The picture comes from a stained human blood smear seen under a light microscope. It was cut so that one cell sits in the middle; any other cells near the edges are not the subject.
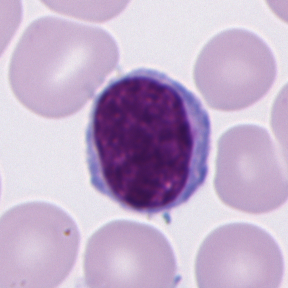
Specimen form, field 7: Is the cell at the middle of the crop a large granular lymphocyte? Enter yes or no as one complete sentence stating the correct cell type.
No, the central cell is not a large granular lymphocyte, being instead a typical lymphocyte.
